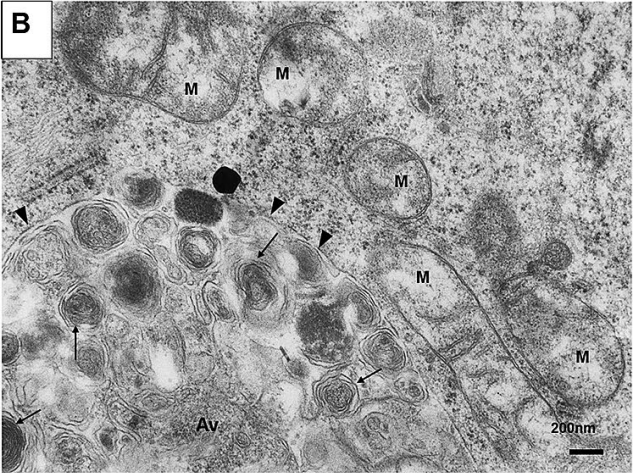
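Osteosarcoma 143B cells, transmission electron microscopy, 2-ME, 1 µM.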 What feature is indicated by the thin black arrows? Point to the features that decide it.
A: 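Lamellar bodies. The arrows point to round bodies made of concentric layered membranes. These bodies lie inside a large membrane-bound vacuole.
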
